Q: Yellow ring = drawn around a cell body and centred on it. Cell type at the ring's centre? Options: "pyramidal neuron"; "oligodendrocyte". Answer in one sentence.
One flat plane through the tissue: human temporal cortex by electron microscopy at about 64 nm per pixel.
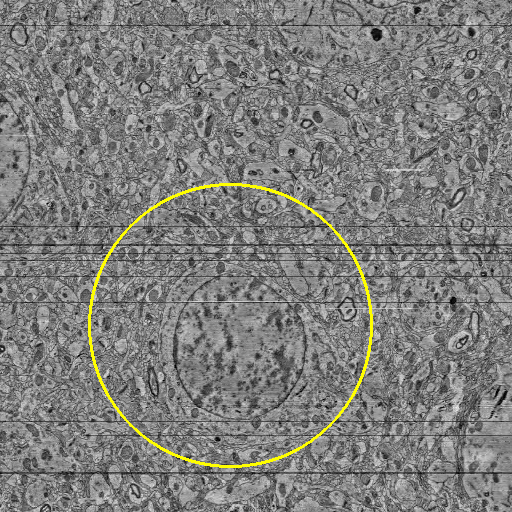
Centred in the ring is a pyramidal neuron.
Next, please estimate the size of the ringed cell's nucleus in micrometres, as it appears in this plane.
In this plane, approximately 9 micrometres across.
